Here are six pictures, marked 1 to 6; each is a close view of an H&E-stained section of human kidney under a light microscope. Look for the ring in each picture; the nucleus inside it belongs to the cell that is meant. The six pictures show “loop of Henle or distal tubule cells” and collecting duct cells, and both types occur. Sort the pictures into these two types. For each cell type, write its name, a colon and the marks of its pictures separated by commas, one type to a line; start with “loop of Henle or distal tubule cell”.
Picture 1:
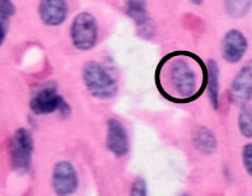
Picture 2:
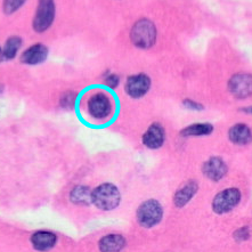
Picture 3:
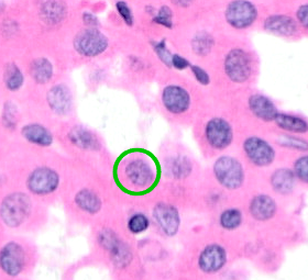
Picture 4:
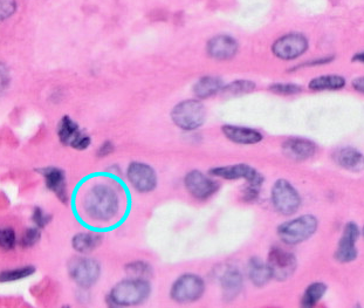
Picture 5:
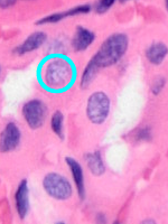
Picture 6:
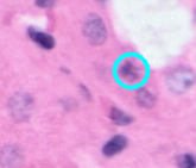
loop of Henle or distal tubule cell: 1, 2, 3, 6
collecting duct cell: 4, 5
